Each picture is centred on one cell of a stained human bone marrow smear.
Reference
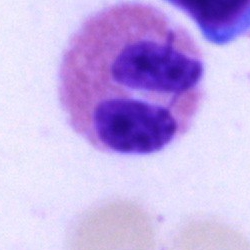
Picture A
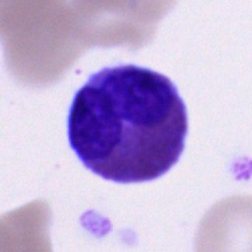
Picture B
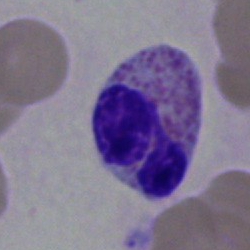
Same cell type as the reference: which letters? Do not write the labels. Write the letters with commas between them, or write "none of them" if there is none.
A, B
